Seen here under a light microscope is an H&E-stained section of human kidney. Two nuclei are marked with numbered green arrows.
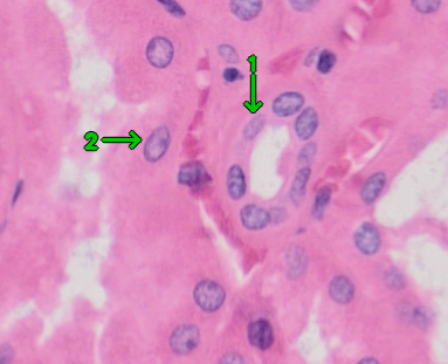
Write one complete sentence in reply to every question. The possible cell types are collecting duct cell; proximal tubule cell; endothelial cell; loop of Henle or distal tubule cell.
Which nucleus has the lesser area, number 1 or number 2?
With nucleus 2 about 2 times its size, nucleus 1 is the smaller of the two.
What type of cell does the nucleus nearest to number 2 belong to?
The nucleus nearest to number 2 is that of an endothelial cell.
